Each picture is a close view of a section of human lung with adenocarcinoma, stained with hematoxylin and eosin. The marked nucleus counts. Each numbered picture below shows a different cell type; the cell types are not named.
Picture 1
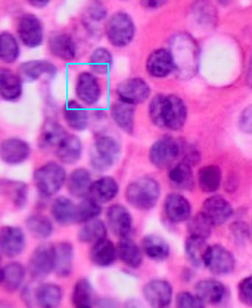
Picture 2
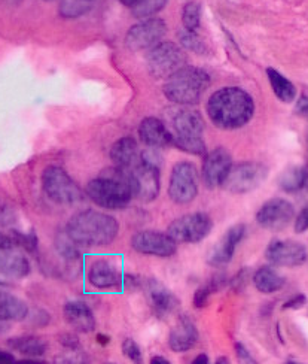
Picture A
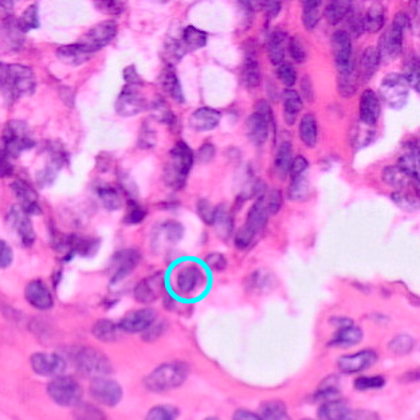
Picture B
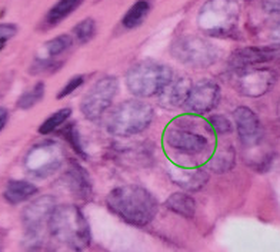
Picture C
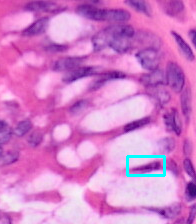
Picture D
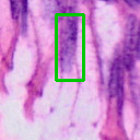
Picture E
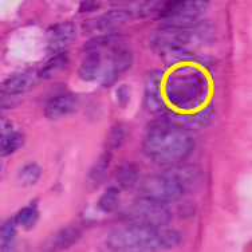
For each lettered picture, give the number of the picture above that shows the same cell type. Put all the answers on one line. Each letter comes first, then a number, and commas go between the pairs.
A 2, B 2, C 2, D 2, E 2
